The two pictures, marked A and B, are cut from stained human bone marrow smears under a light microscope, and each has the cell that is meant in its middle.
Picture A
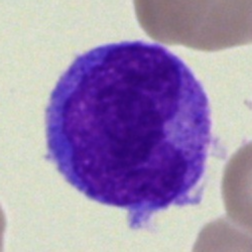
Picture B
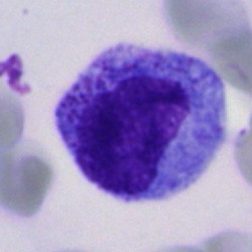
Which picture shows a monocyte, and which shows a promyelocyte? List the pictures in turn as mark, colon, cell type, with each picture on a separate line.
A: monocyte
B: promyelocyte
